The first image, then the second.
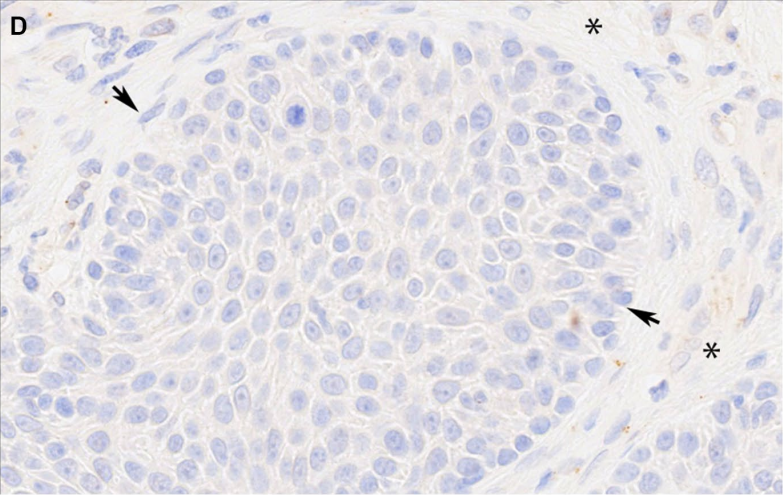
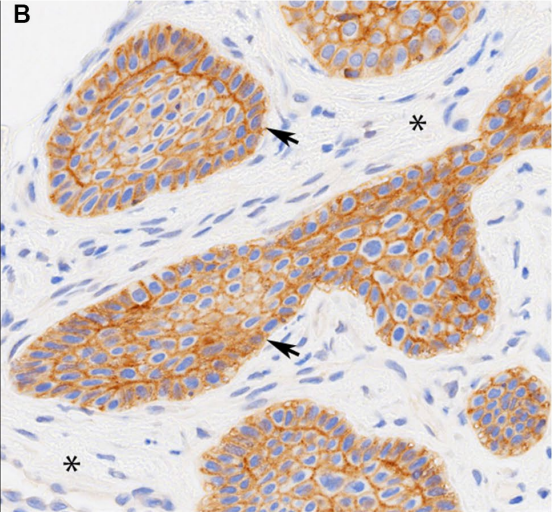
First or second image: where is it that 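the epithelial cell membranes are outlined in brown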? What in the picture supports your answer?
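First image: the epithelial lobule is blue only, with no brown outlining of cell borders. Second image: every epithelial cell in the islands has a strong brown outline at its membrane. The answer: the second image.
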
